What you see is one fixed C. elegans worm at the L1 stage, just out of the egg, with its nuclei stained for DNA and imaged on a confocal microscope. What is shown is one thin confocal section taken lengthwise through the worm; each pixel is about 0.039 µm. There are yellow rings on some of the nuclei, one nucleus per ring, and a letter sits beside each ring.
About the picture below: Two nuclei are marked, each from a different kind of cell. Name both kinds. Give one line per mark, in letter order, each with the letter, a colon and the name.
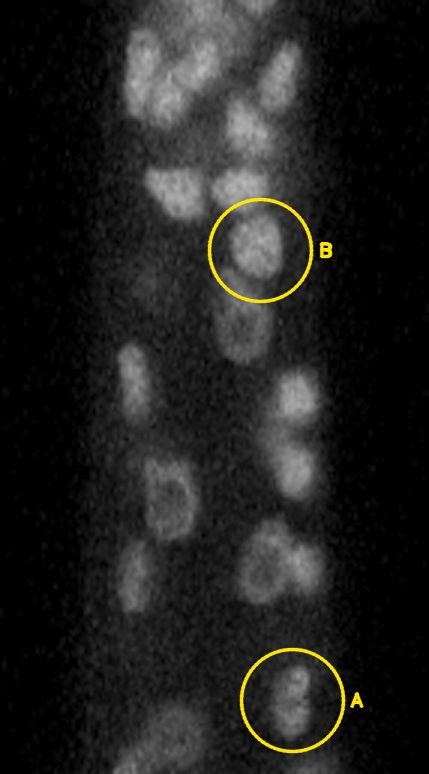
A: body wall muscle cell
B: neuron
